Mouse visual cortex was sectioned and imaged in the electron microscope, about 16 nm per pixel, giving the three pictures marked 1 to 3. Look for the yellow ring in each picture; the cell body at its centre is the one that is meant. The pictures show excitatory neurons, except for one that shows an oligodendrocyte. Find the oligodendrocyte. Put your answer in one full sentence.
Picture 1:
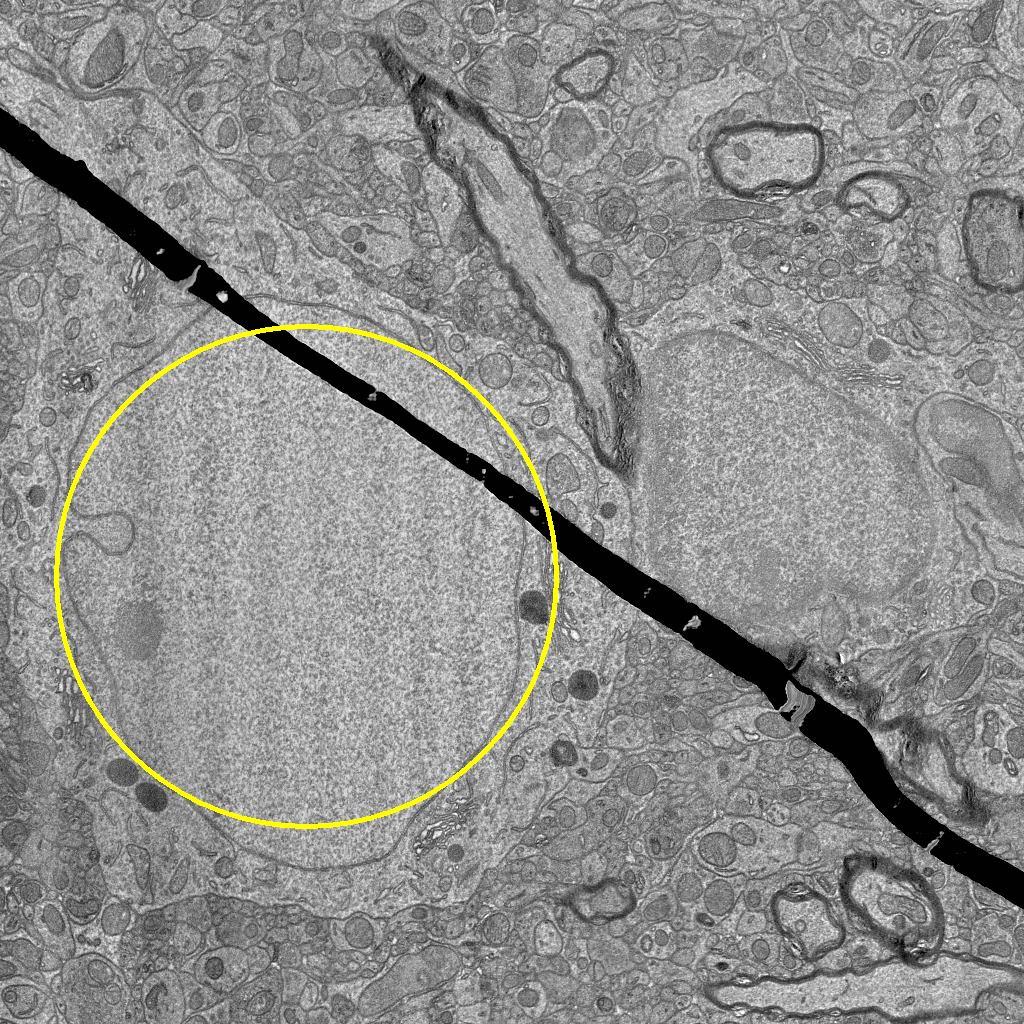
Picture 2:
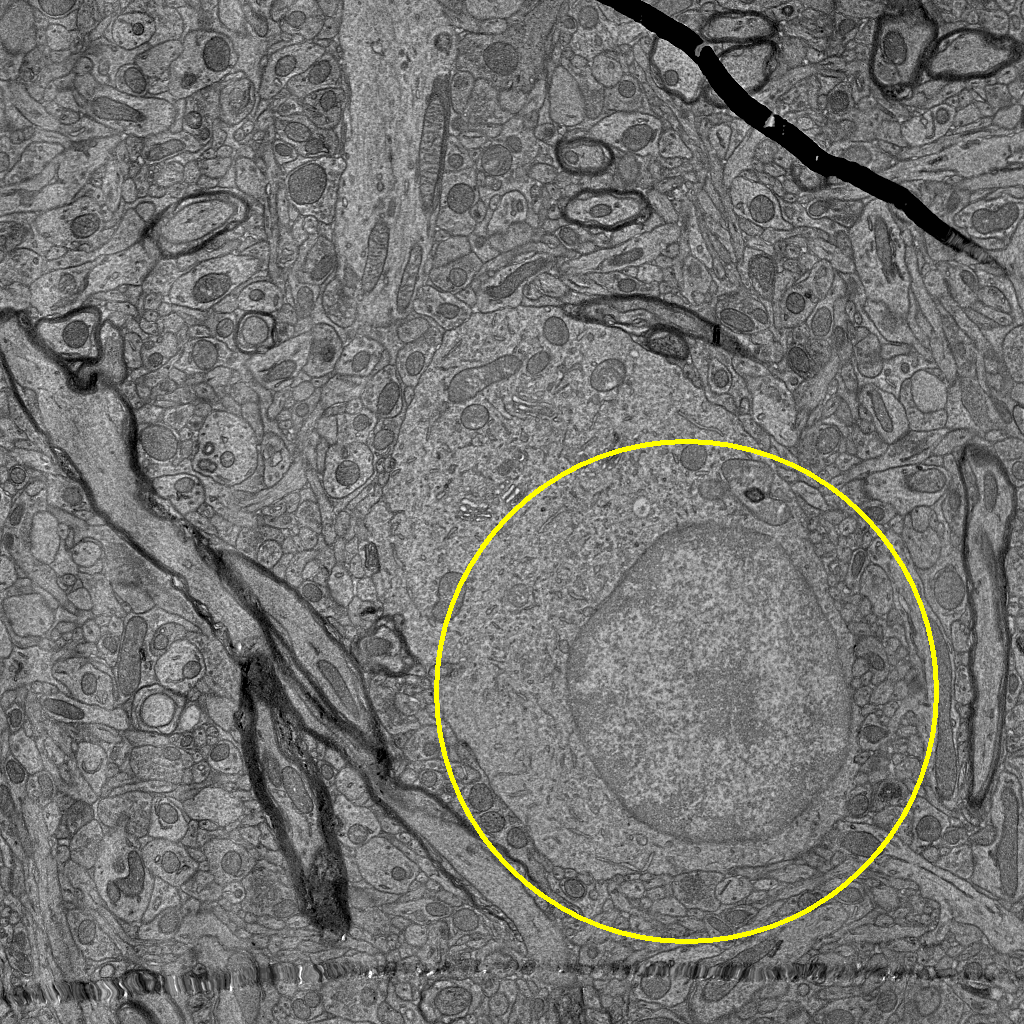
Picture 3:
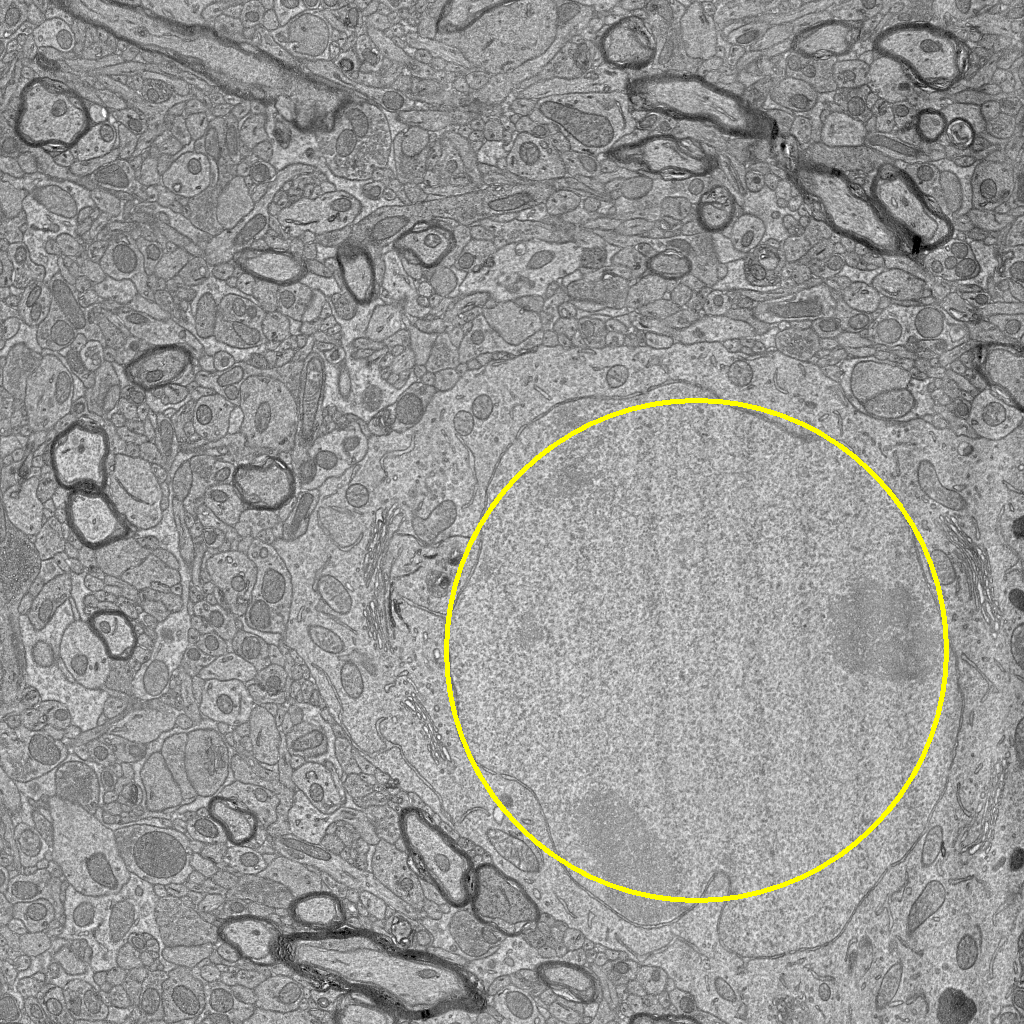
The oligodendrocyte is the one in picture 2.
